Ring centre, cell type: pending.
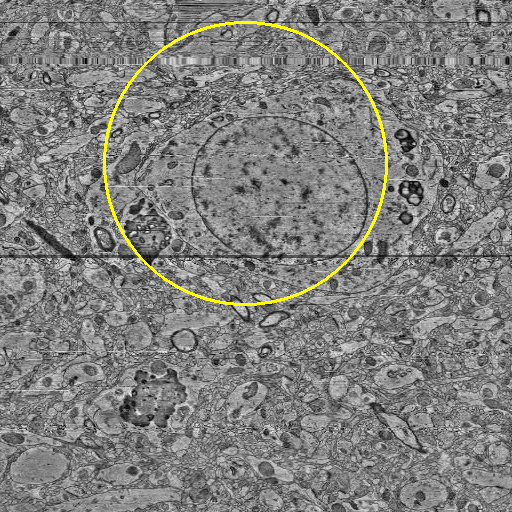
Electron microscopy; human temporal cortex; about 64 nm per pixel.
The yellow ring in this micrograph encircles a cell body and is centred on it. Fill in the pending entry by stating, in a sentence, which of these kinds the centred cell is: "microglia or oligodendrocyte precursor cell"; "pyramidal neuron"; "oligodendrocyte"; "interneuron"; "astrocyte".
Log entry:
The centred cell is recorded as a pyramidal neuron.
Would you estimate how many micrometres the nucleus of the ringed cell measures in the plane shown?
Roughly 13 by 10 micrometres is the size of the nucleus in this plane.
